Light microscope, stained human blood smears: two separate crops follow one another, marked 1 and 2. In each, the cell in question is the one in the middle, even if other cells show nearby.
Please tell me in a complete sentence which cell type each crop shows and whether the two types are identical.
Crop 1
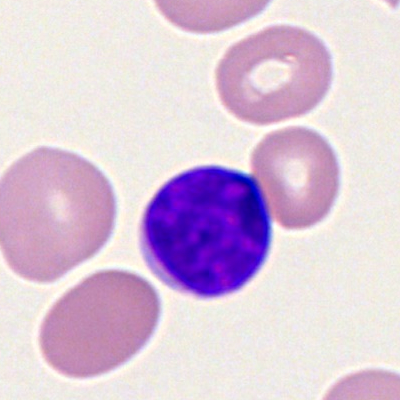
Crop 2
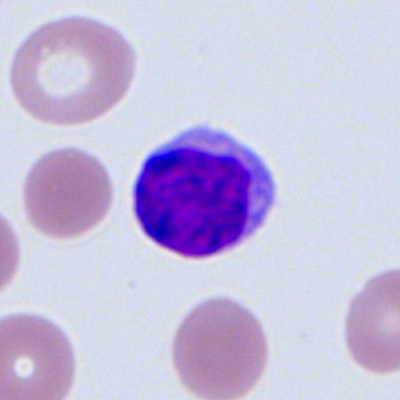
Yes, the two crops show lymphocytes, both of them.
